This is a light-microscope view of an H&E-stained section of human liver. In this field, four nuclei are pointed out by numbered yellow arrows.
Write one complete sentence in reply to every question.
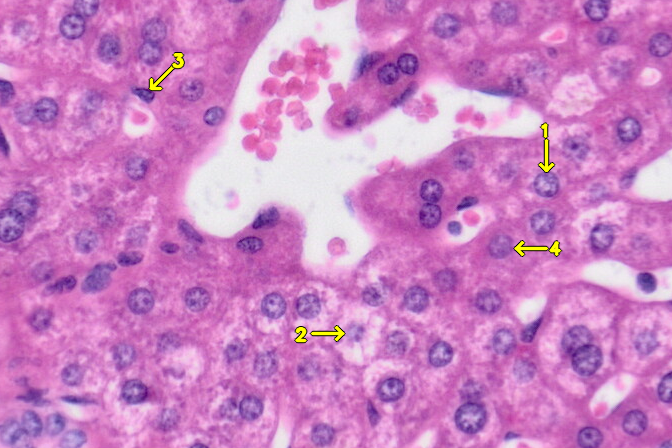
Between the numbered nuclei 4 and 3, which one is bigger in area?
Nucleus 4 is the larger one, covering about 1.5 times the area of nucleus 3.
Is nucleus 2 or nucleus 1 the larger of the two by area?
It is nucleus 1, which covers about 2 times the area of nucleus 2.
